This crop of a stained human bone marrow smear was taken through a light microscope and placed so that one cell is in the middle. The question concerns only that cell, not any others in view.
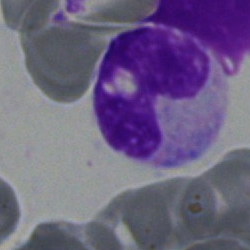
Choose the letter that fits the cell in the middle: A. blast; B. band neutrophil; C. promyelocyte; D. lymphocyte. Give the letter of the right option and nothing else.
B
